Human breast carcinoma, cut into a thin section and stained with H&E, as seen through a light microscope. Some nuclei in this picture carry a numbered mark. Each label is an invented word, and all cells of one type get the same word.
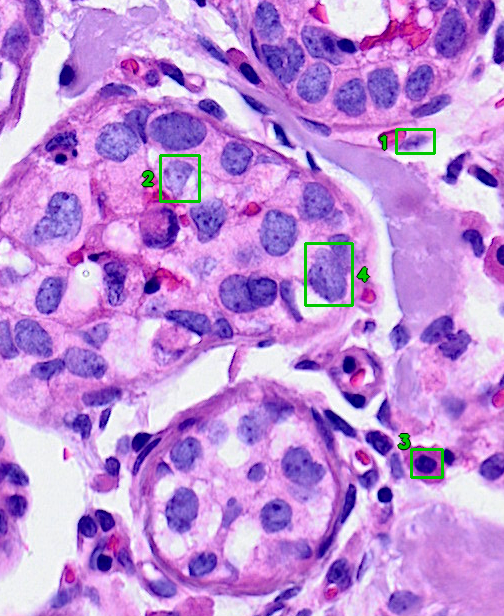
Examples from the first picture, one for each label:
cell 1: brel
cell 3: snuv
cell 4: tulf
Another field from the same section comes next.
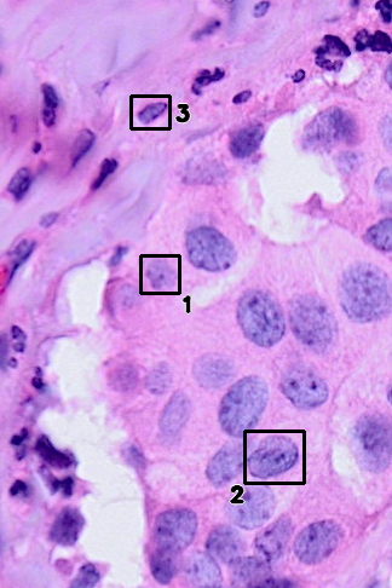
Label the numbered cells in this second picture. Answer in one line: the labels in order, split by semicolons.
tulf; tulf; snuv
